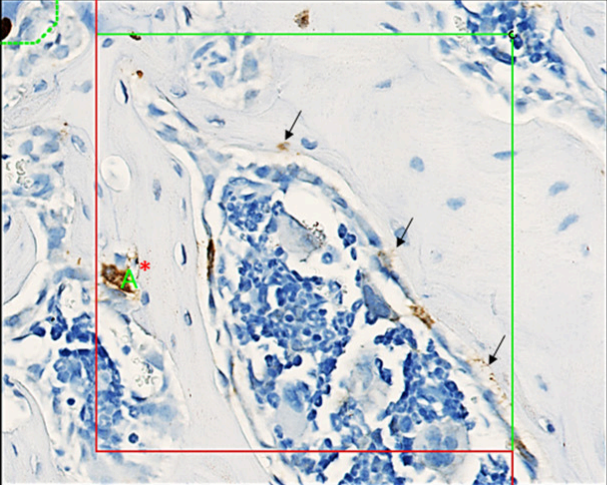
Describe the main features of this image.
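This is a section of trabecular bone with a central marrow space, counterstained blue, with a few brown-stained cells at the bone surfaces. Pale bone matrix surrounds the marrow space and contains scattered small, flattened blue nuclei in lacunae. The marrow space holds crowded small round blue nuclei and a few larger cells with more cytoplasm. Faint, patchy brownish deposits lie along the edge of the marrow space without a clear cell shape.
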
